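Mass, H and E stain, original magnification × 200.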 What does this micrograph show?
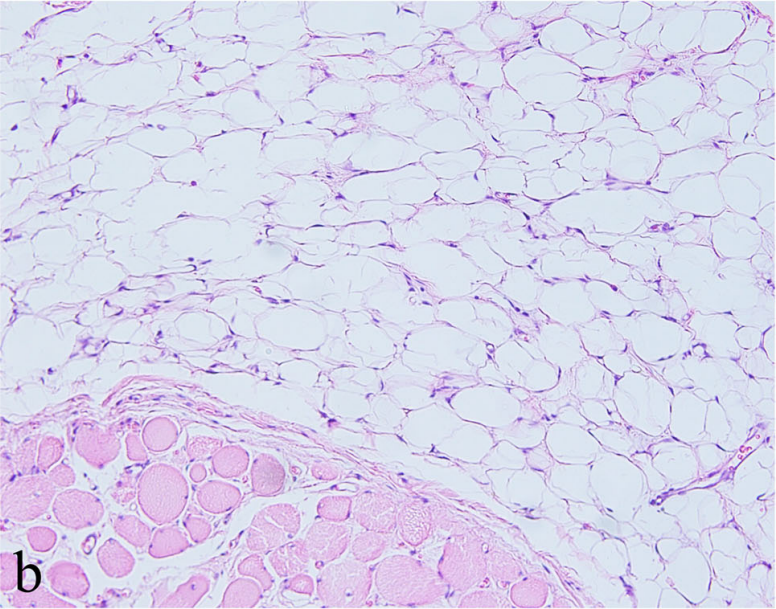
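This shows mature fat cells lying next to skeletal muscle fibres. The fat cells are large, rounded to polygonal and look empty, with only thin pink membranes between them. Their small dark purple nuclei are flattened and pressed to the edge of the cells. In the lower left, a group of skeletal muscle fibres cut across appears as pink round and polygonal profiles of varying size. A thin fibrous sheath separates the muscle fibres from the fat.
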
